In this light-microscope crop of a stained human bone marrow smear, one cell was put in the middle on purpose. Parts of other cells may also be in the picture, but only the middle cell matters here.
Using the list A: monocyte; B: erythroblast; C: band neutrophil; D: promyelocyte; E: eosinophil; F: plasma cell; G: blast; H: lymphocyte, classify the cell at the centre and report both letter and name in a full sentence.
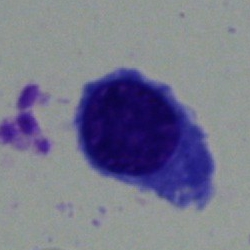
The correct option is F, as the central cell is a plasma cell.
